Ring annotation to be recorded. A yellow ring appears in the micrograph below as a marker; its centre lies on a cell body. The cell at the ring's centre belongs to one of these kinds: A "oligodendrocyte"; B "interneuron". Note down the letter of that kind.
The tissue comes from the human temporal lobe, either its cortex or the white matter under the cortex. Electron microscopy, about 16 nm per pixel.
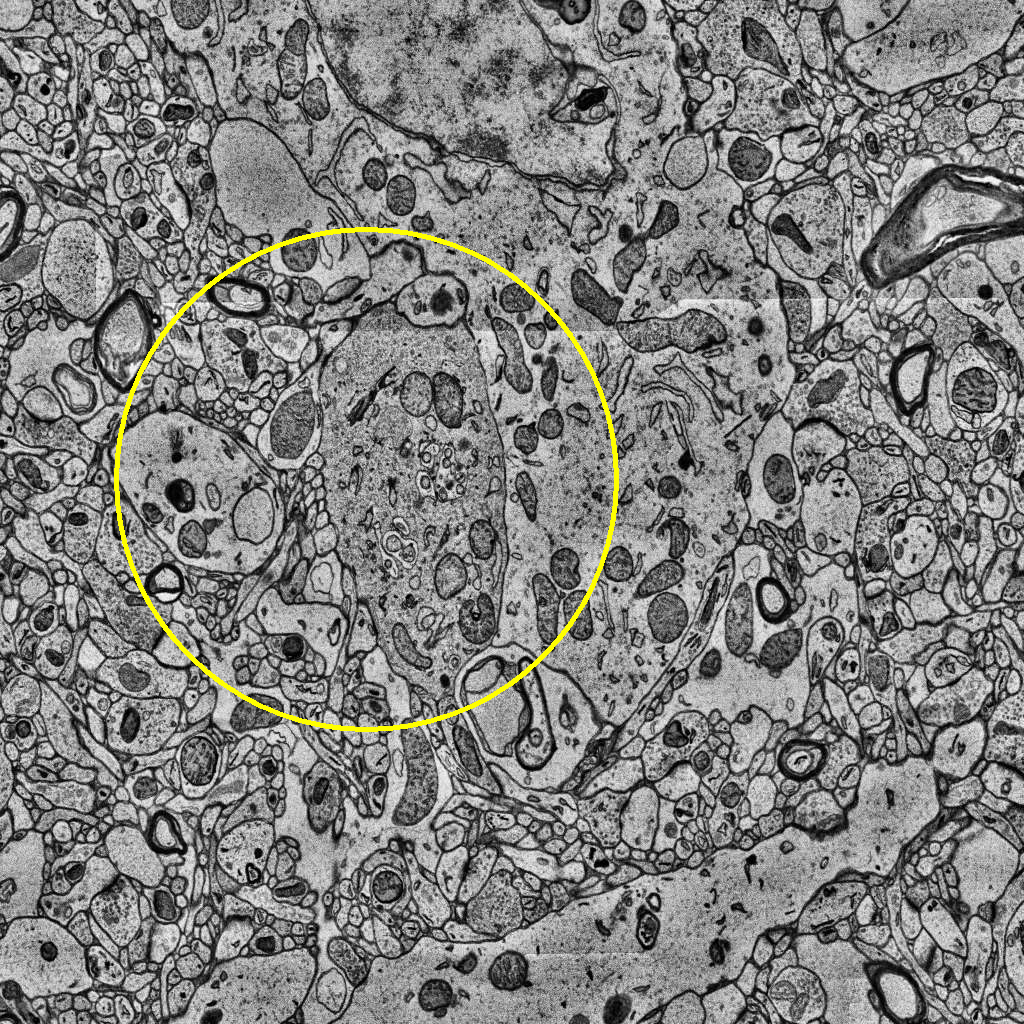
A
